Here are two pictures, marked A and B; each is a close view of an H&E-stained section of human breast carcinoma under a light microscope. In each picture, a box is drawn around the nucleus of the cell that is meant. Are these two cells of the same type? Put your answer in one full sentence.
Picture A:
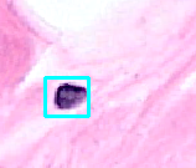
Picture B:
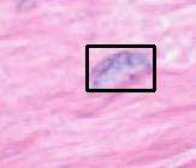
No, the types are not the same, since picture A shows a lymphocyte and picture B a fibroblast.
